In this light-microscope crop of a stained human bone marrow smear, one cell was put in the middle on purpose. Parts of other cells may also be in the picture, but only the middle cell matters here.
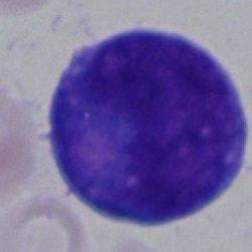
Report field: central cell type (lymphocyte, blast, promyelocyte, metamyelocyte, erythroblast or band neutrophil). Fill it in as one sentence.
In this crop, the cell at the very middle is a blast.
